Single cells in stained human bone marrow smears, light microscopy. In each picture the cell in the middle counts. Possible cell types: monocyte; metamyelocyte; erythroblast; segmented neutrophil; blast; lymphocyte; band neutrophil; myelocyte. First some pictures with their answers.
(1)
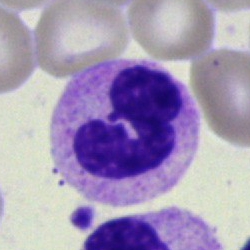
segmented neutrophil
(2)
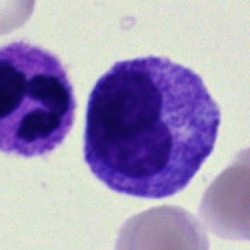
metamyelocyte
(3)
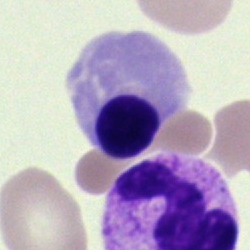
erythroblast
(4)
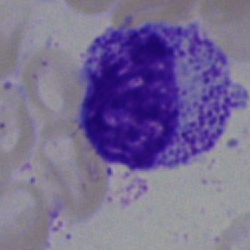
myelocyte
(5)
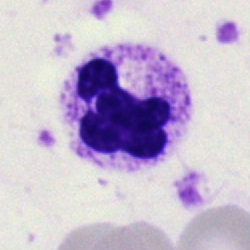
segmented neutrophil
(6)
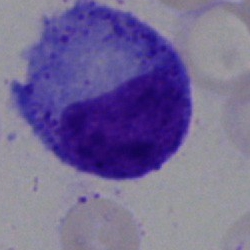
myelocyte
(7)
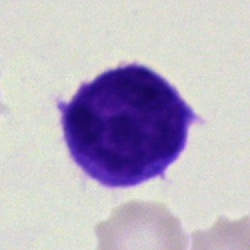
blast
